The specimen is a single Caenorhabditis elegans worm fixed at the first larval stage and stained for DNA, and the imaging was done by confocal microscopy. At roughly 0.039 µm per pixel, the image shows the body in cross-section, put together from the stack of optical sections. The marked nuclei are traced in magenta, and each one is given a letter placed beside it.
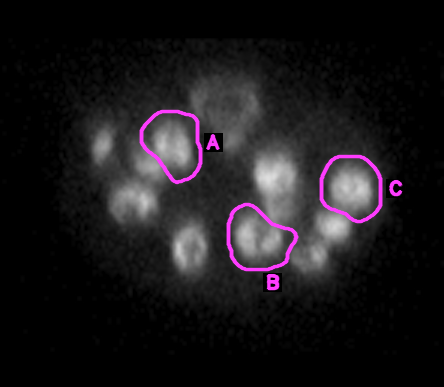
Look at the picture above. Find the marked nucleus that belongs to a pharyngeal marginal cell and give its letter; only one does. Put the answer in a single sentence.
Nucleus A belongs to a pharyngeal marginal cell.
